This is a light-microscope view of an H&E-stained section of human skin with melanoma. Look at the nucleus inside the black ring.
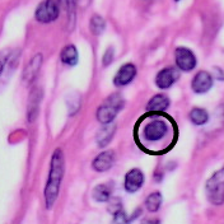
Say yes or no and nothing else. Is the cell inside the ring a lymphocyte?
yes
